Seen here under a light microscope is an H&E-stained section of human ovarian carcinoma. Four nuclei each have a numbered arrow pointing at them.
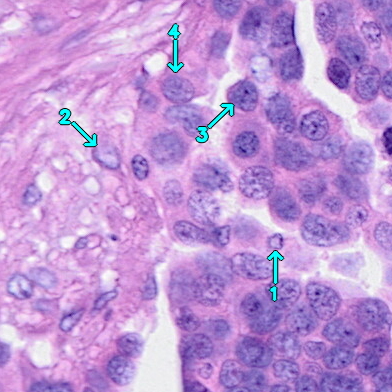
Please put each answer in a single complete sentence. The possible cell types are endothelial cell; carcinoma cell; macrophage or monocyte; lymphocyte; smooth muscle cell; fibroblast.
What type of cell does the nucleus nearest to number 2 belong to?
Closest to number 2 lies the nucleus of a macrophage or monocyte.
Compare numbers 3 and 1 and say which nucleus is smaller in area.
With nucleus 3 about 2.5 times its size, nucleus 1 is the smaller of the two.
